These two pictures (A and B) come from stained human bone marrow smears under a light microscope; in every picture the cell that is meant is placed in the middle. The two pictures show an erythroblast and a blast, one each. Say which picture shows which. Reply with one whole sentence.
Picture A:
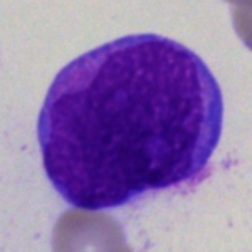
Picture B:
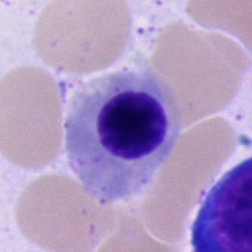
It is picture A that shows a blast, and picture B that shows an erythroblast.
